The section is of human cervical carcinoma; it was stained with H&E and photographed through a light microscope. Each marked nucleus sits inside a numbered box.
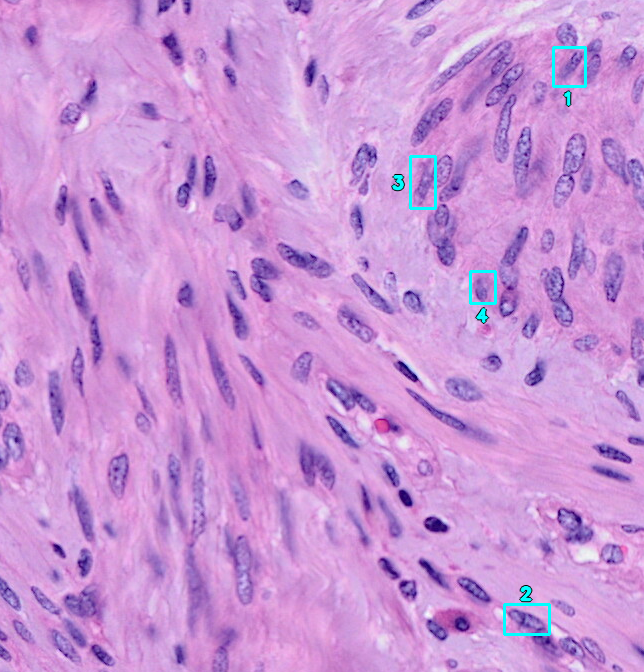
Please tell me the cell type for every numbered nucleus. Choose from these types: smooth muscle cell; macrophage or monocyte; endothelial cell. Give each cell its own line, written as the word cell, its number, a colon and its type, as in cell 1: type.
cell 1: smooth muscle cell
cell 2: endothelial cell
cell 3: smooth muscle cell
cell 4: smooth muscle cell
